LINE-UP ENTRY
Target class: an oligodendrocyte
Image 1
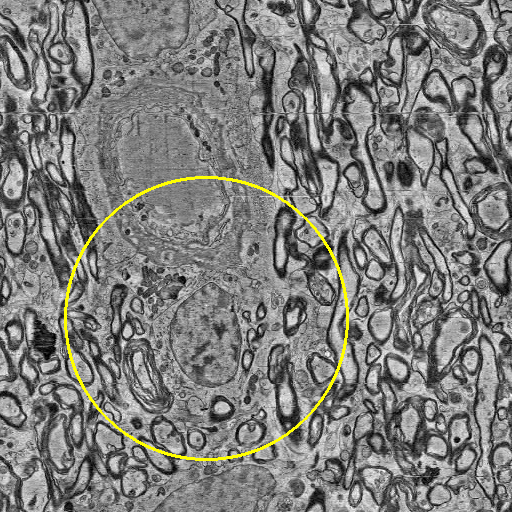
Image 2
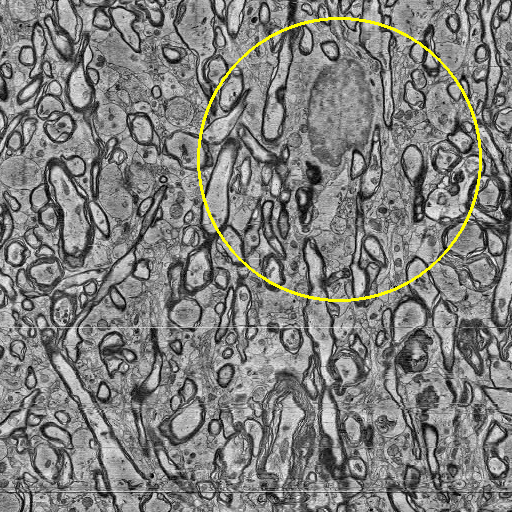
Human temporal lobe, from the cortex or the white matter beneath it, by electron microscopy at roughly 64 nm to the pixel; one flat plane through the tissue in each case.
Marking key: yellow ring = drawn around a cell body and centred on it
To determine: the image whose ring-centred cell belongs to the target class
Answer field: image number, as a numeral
2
